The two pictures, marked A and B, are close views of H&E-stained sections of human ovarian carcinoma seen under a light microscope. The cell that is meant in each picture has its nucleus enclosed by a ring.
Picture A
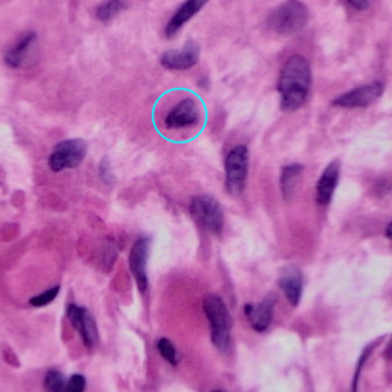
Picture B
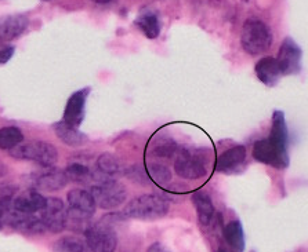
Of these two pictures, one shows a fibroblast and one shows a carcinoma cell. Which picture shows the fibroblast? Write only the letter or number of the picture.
A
